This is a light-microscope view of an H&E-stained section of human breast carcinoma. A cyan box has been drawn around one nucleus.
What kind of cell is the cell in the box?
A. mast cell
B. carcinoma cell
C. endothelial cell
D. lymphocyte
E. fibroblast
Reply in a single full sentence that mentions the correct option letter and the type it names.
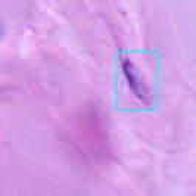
Option E is the right one; the cell in the box is a fibroblast.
